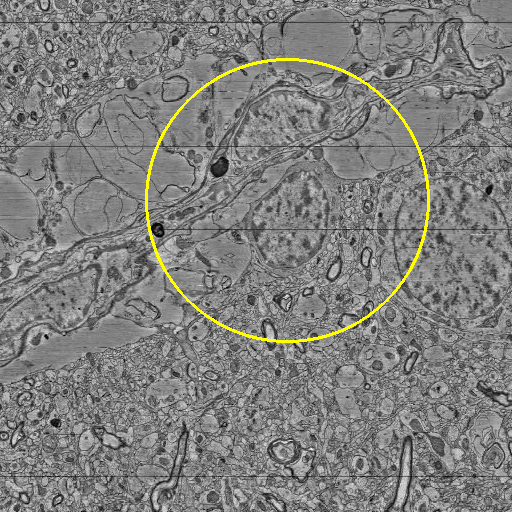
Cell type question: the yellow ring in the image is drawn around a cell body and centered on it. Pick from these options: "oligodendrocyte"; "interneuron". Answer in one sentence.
The ringed cell at the center is an oligodendrocyte.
